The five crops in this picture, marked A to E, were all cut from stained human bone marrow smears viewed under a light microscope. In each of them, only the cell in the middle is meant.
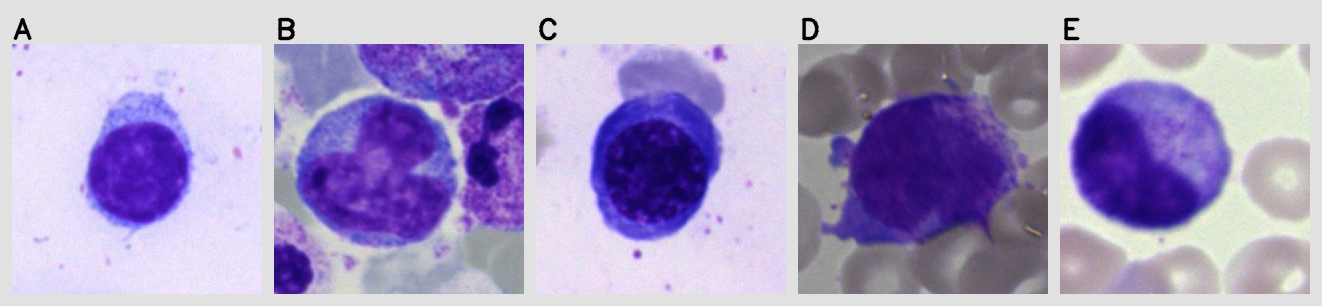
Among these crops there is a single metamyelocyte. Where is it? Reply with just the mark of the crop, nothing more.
E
